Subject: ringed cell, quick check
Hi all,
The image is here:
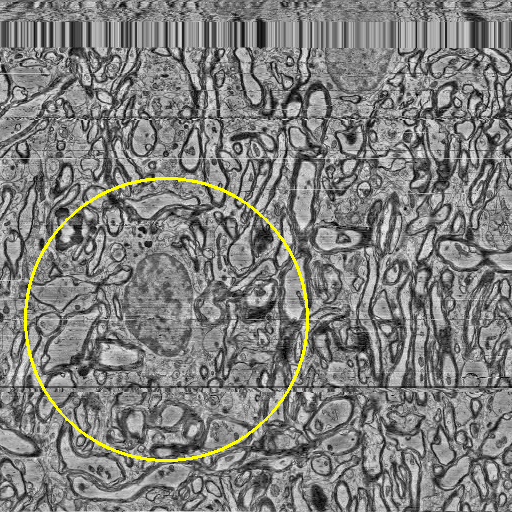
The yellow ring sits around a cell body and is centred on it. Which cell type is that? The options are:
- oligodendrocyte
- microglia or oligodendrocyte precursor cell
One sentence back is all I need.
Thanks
That ringed cell is a microglial cell or oligodendrocyte precursor cell.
